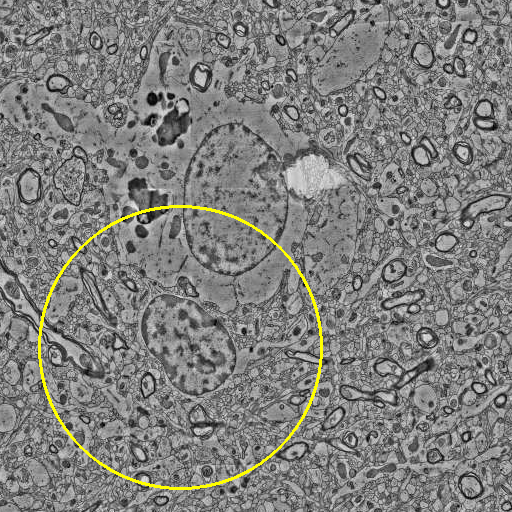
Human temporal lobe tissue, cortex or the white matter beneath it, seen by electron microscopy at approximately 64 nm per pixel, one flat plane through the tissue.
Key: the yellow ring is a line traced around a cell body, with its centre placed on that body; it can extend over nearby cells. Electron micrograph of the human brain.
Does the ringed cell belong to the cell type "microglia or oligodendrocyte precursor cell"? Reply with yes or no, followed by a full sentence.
Yes, the cell at the centre of the yellow ring in the picture is of that type.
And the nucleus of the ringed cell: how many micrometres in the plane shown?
In this plane, approximately 7 by 5 micrometers.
